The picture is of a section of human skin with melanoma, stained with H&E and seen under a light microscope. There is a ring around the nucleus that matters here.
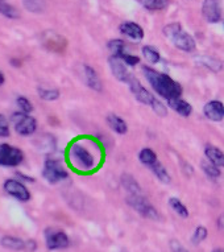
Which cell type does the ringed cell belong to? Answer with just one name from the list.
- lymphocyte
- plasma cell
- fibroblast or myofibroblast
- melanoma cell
lymphocyte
